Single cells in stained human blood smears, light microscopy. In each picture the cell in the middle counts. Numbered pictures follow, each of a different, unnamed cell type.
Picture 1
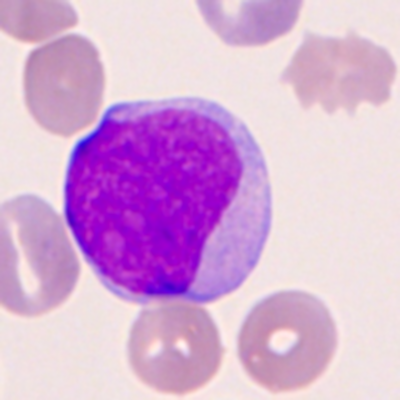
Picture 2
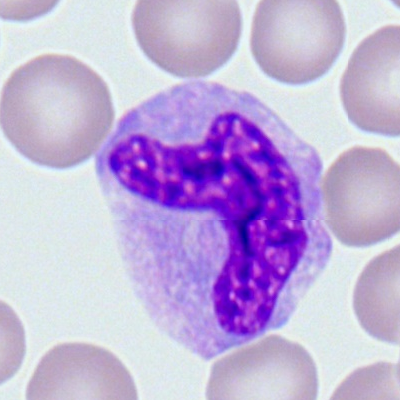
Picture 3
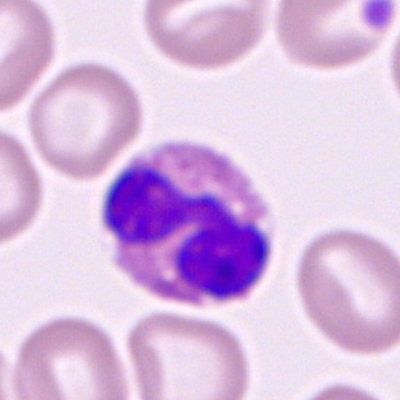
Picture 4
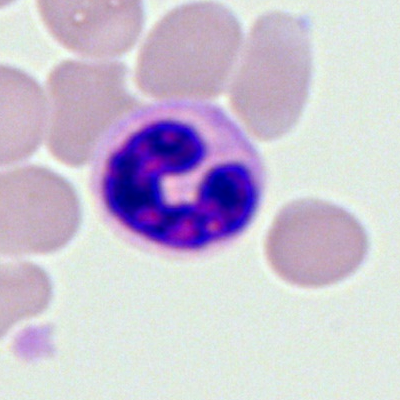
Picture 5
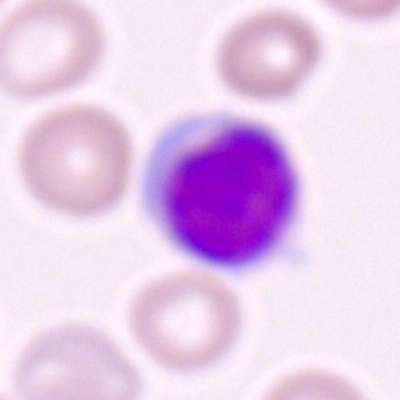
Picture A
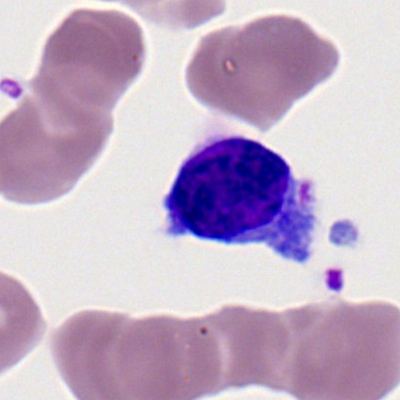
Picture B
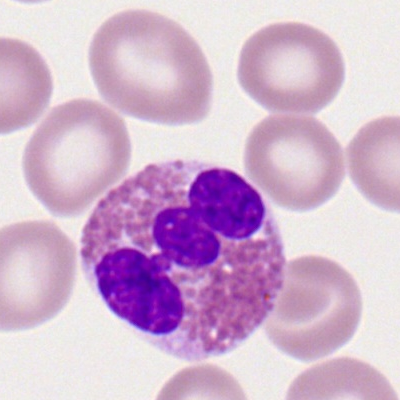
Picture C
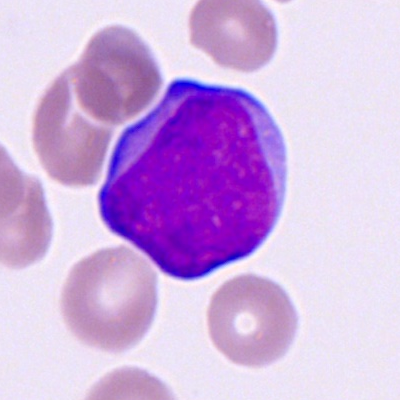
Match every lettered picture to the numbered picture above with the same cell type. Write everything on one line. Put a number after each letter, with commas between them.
A 5, B 3, C 1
